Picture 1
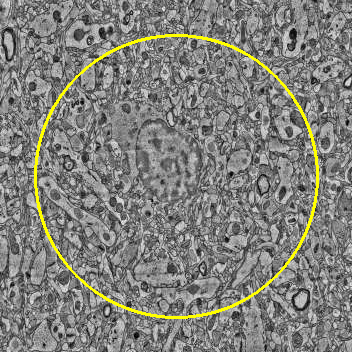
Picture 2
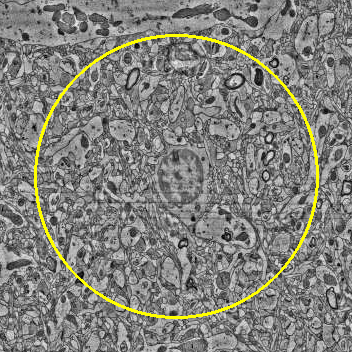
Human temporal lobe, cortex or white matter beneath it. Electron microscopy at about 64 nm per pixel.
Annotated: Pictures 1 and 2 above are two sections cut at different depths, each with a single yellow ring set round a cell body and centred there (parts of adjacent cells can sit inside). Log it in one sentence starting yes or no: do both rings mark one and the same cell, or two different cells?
No, the two rings refer to two distinct cells.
